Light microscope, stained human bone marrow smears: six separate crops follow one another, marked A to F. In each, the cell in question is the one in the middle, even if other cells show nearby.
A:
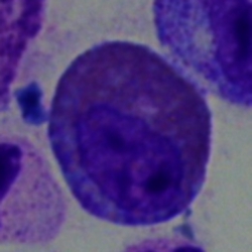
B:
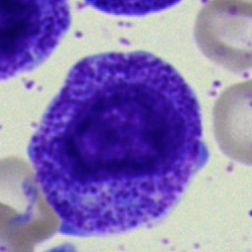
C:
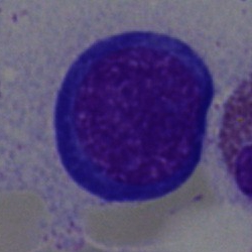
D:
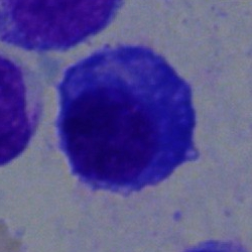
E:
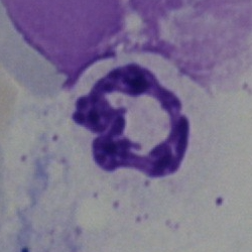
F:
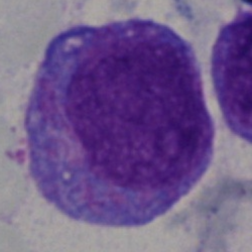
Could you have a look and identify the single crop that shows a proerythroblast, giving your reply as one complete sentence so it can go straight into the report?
Crop C is identified as the crop showing a proerythroblast.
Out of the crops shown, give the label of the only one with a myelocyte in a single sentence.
On review of the set, crop B is the one showing a myelocyte.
